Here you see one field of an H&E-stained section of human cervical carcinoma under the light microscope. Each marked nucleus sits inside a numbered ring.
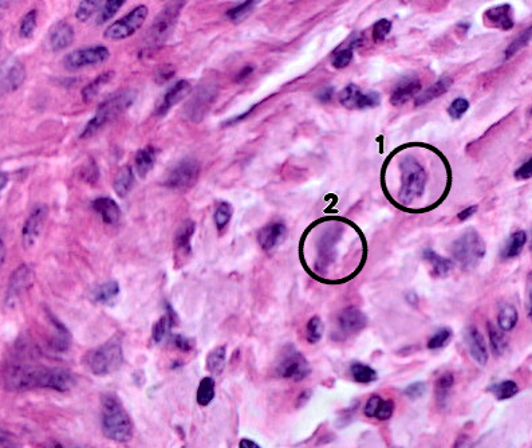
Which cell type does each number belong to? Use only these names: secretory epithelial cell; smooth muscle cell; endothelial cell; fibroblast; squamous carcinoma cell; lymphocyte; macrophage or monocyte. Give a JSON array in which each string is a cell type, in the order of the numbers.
["macrophage or monocyte", "fibroblast"]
